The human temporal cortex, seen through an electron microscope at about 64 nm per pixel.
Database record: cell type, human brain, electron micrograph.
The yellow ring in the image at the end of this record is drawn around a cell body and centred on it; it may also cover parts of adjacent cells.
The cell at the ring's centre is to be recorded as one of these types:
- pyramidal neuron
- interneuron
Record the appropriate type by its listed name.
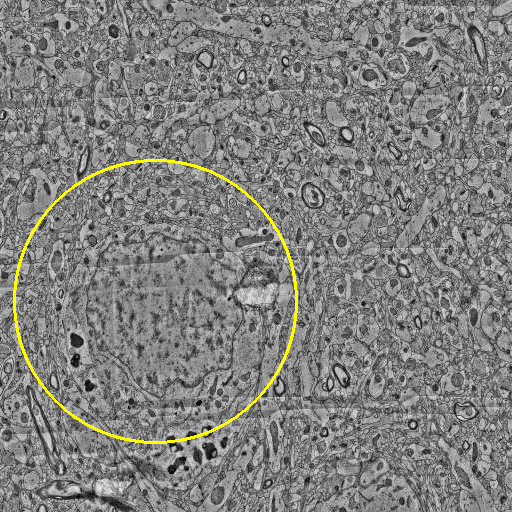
interneuron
